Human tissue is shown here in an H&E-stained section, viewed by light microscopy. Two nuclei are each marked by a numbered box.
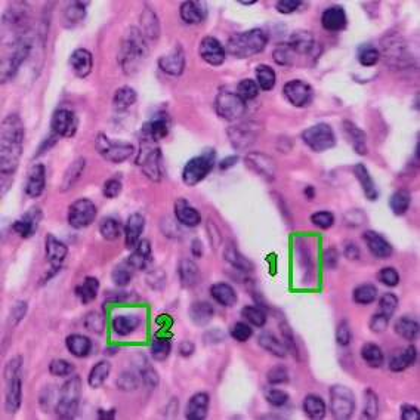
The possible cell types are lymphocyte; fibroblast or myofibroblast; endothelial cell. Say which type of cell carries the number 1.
endothelial cell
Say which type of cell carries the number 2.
lymphocyte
